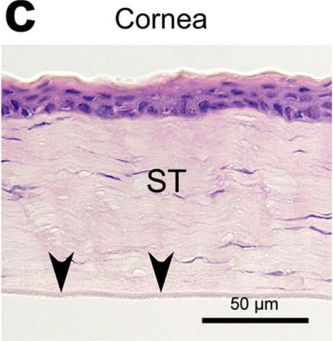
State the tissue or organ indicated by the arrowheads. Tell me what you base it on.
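The arrowheads point to a very thin single layer at the bottom edge. This layer lies beneath the thick pale stroma, opposite the surface epithelium. The answer: endothelium.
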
